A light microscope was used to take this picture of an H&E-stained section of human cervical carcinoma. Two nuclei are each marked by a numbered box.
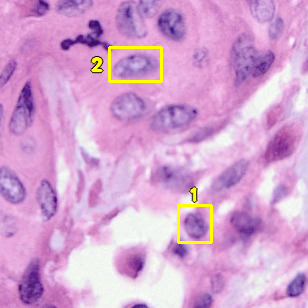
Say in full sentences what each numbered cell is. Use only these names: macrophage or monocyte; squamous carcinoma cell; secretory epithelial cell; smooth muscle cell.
Cell 1 is a macrophage or monocyte and cell 2 is a squamous carcinoma cell.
